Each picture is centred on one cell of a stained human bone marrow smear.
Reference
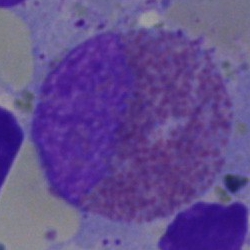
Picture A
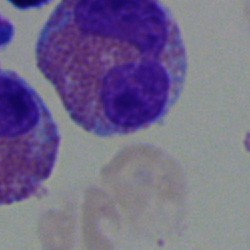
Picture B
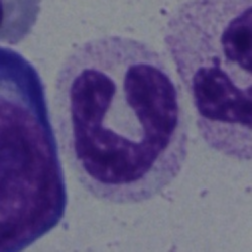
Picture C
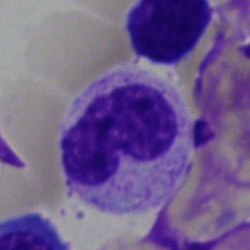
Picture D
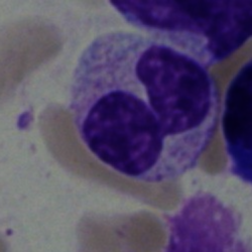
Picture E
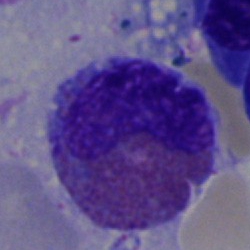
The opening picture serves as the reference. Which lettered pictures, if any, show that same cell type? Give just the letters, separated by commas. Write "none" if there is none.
A, E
